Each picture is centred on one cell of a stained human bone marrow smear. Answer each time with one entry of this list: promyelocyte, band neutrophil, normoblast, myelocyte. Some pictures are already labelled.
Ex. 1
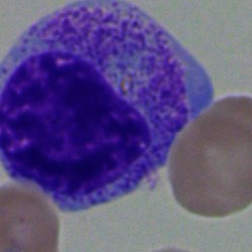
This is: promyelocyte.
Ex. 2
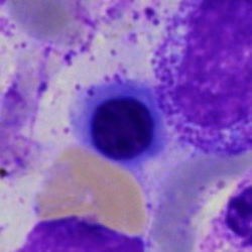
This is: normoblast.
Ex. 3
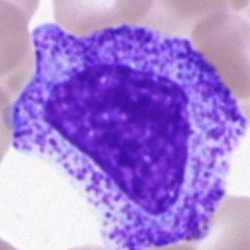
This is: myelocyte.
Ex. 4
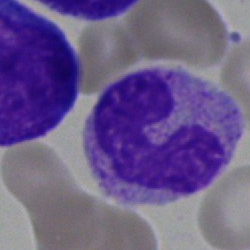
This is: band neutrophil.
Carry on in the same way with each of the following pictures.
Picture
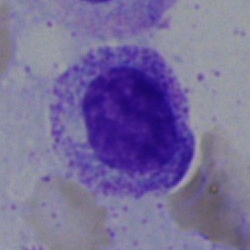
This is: myelocyte.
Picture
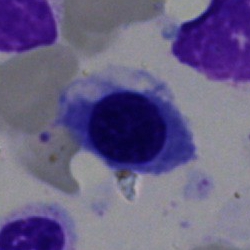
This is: normoblast.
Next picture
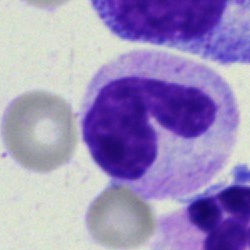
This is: band neutrophil.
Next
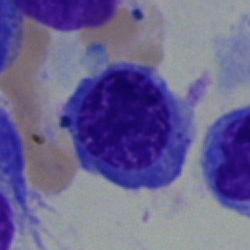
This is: normoblast.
